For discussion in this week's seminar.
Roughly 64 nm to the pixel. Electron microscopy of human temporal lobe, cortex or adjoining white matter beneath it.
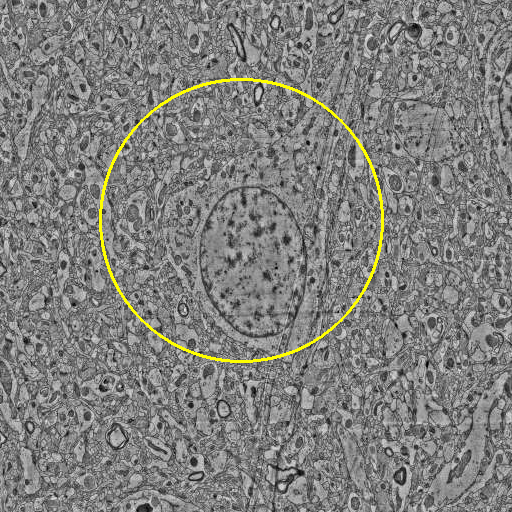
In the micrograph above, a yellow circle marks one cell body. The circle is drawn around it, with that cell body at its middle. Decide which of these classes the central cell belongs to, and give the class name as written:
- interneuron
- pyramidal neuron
pyramidal neuron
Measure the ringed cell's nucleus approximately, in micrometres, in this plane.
The nucleus of the ringed cell is approximately 10 by 7 micrometres in this plane.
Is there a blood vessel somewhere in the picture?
No, the picture includes no blood vessel.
